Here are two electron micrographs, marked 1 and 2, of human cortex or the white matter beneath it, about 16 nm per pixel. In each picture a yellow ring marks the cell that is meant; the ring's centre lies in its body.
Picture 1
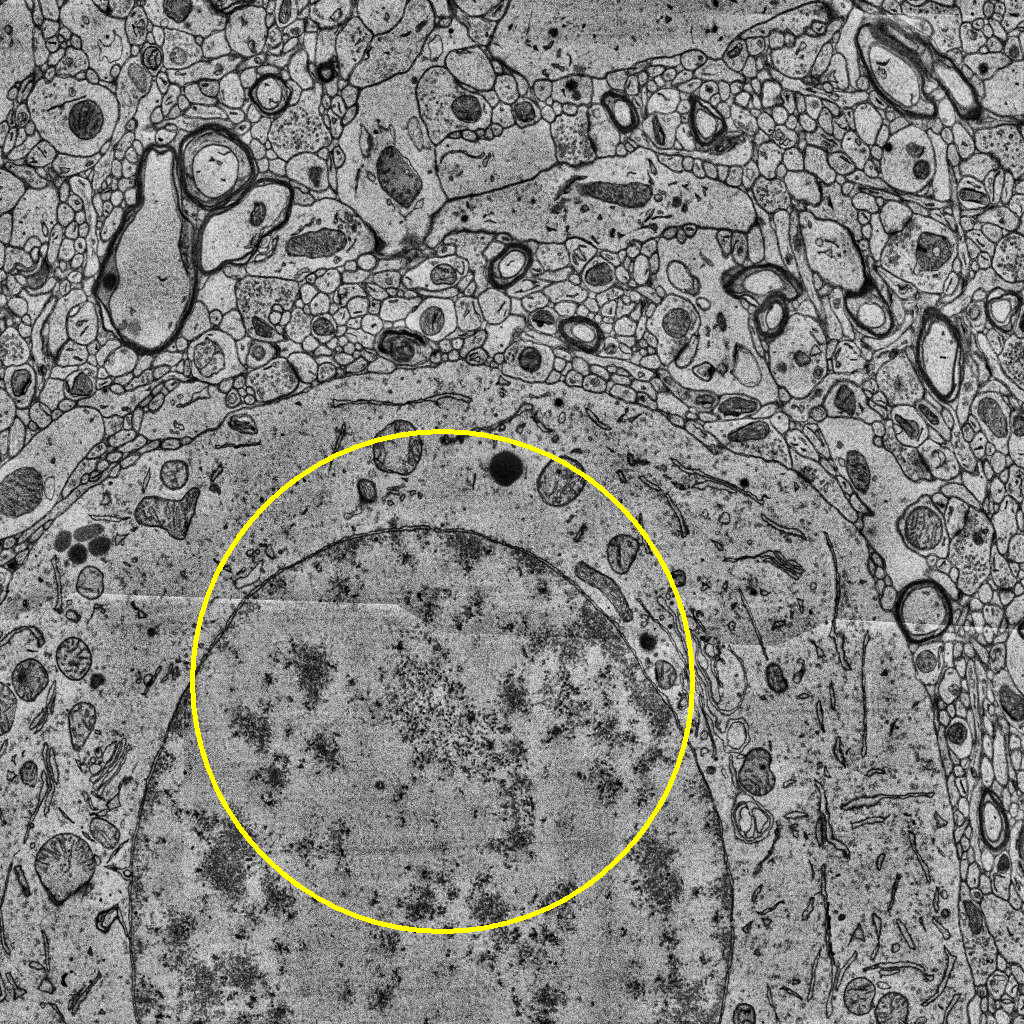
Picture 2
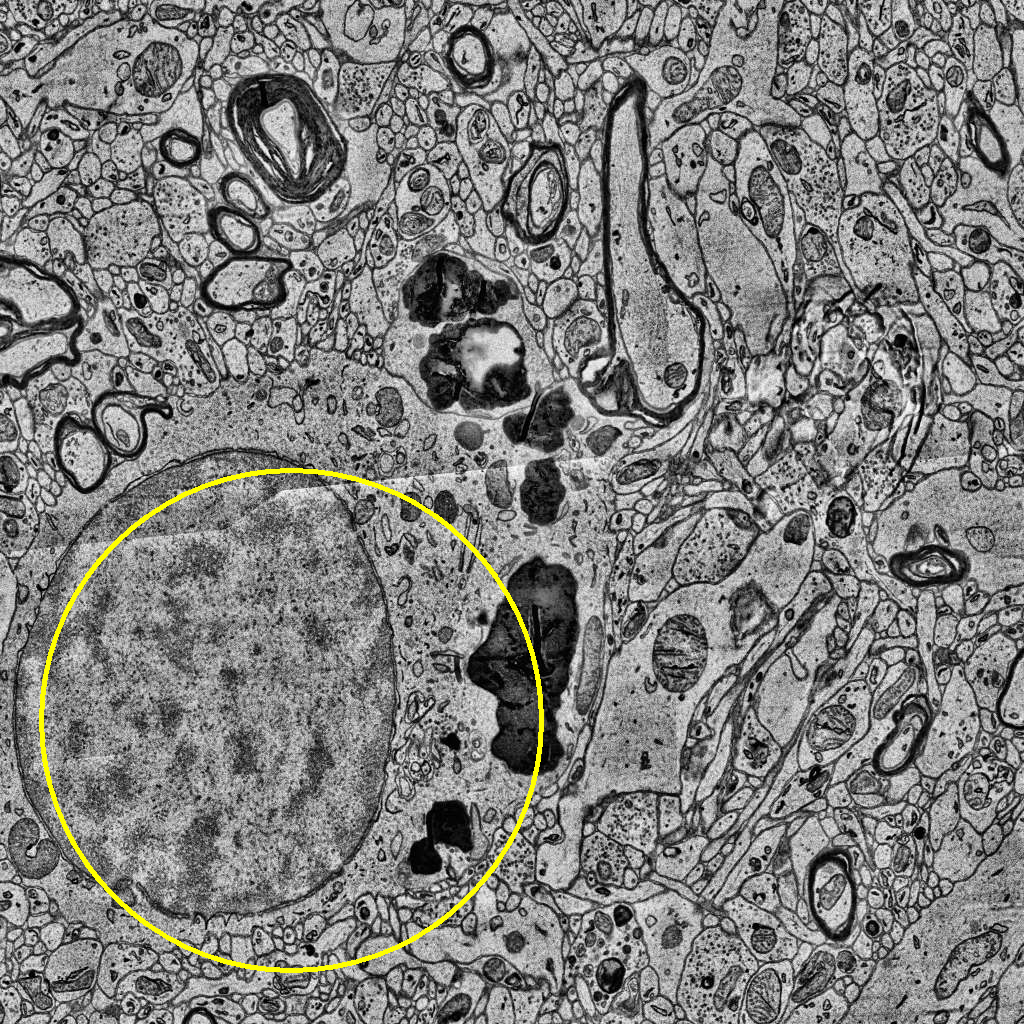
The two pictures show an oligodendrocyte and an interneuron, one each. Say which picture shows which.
In picture 1 the cell is an interneuron; in picture 2, an oligodendrocyte.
